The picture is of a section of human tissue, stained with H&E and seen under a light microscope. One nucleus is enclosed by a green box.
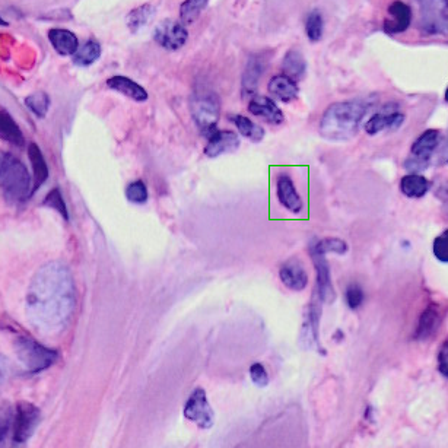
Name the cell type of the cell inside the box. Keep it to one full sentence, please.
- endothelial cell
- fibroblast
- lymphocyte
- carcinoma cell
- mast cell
The correct response here is that the cell inside the box is a mast cell.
